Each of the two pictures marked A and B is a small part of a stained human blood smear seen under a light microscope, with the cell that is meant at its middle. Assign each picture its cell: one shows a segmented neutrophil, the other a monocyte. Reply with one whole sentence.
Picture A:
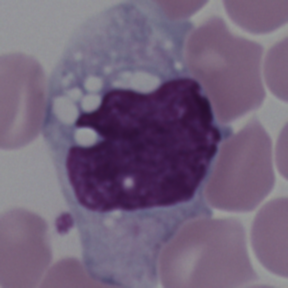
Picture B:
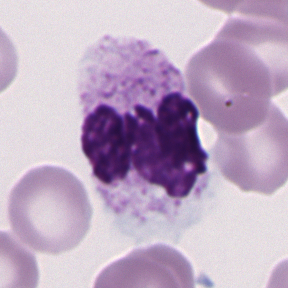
In picture A the cell is a monocyte; in picture B, a segmented neutrophil.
